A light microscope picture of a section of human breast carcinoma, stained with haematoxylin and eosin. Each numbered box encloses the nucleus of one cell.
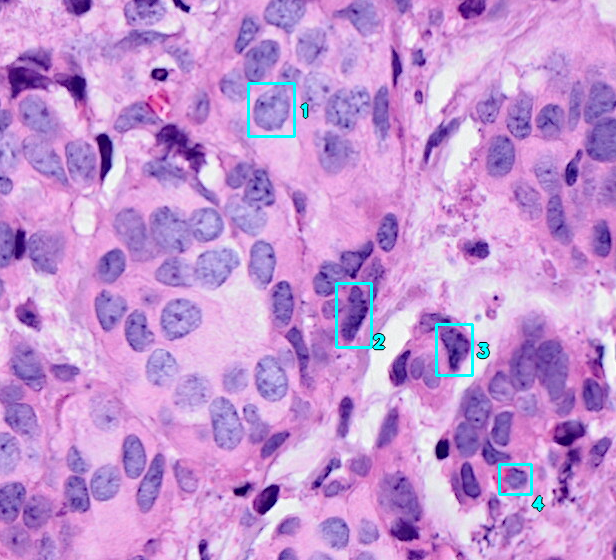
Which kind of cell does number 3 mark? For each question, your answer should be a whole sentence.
Cell 3 in the field is a carcinoma cell.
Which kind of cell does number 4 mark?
The cell whose nucleus carries the number 4 is an endothelial cell.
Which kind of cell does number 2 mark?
To a carcinoma cell belongs the nucleus marked 2.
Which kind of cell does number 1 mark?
Here, the cell given the number 1 is a carcinoma cell.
